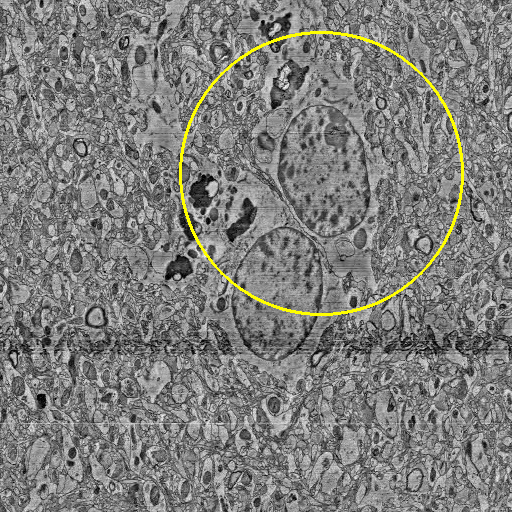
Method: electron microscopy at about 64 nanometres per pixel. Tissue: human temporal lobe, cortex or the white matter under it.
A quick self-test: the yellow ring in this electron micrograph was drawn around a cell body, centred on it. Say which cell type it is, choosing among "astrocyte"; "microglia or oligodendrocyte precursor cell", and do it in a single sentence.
The yellow-ringed cell is an astrocyte.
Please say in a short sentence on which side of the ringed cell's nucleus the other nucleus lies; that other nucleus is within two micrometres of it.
That second nucleus is below it.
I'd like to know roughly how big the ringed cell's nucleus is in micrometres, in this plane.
About 9 by 6 micrometres, the nucleus being clearly longer than it is wide in this plane.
